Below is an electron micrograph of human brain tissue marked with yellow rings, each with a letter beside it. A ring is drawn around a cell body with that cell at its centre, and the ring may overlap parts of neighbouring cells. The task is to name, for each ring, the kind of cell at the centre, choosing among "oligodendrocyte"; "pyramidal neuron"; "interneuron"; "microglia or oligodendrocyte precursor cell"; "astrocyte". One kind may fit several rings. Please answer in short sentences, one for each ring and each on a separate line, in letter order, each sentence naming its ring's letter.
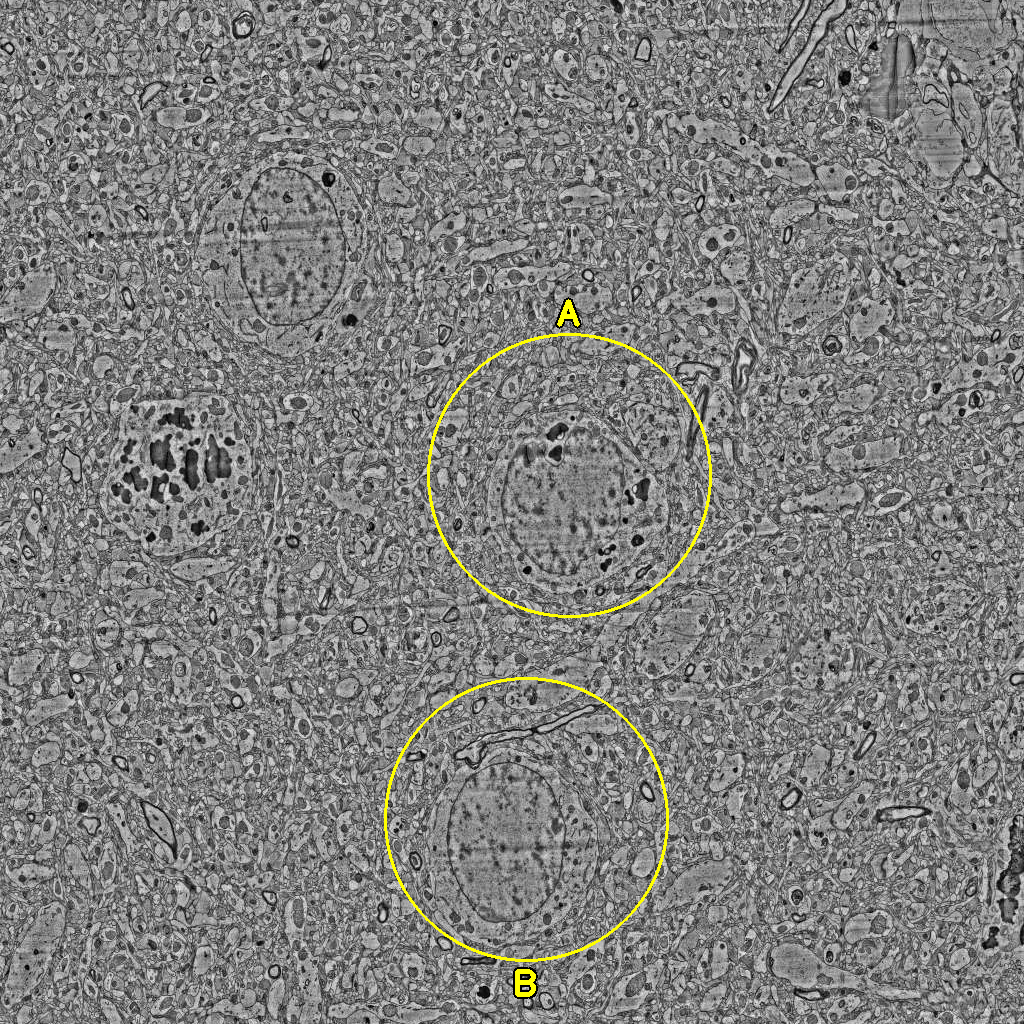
The ring with letter A is centred on an interneuron.
The ring with letter B is centred on a pyramidal neuron.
